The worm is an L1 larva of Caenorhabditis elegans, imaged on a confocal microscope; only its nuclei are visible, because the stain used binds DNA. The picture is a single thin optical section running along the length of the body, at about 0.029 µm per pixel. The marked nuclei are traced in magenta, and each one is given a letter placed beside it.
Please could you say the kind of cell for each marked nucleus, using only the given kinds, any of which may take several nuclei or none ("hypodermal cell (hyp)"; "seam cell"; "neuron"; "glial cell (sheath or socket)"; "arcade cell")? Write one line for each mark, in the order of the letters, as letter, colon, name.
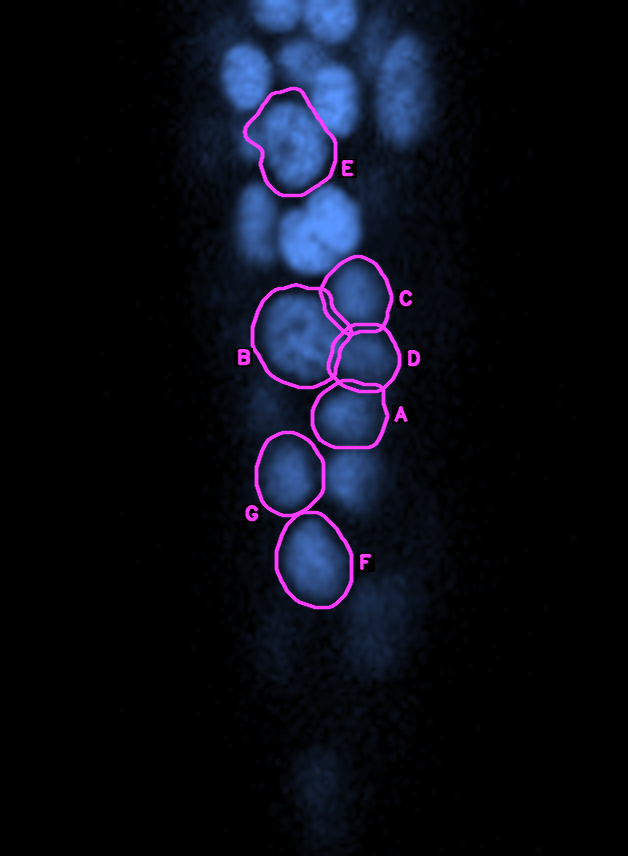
A: glial cell (sheath or socket)
B: seam cell
C: glial cell (sheath or socket)
D: glial cell (sheath or socket)
E: neuron
F: arcade cell
G: hypodermal cell (hyp)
